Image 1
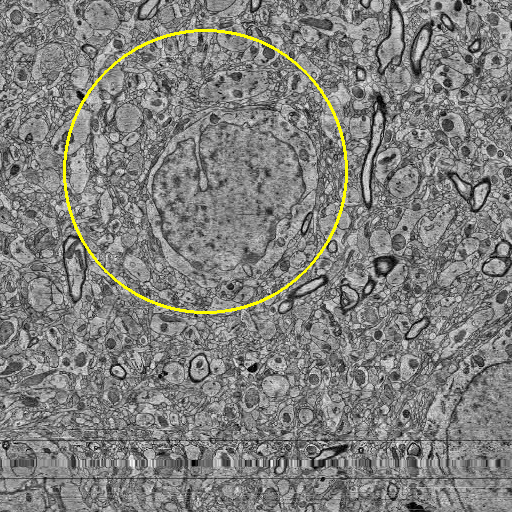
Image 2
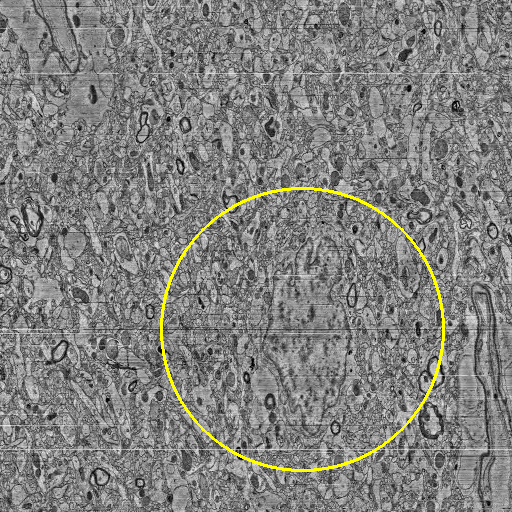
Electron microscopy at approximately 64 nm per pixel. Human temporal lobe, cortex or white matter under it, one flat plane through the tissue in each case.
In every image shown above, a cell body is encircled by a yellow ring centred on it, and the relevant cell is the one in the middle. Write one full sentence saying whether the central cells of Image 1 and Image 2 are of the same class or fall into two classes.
The cell at the ring's centre in Image 1 and its counterpart in Image 2 are of the same class.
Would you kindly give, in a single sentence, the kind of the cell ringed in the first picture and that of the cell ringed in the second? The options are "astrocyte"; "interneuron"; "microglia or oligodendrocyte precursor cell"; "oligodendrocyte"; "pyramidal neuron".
Each of the two rings is centred on an interneuron.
